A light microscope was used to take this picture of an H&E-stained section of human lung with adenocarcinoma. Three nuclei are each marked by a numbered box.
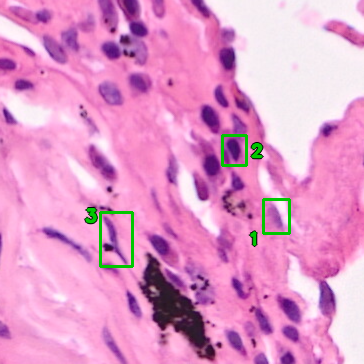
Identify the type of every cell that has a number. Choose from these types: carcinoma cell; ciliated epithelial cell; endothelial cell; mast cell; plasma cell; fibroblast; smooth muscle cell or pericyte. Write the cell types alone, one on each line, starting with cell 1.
fibroblast
plasma cell
fibroblast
